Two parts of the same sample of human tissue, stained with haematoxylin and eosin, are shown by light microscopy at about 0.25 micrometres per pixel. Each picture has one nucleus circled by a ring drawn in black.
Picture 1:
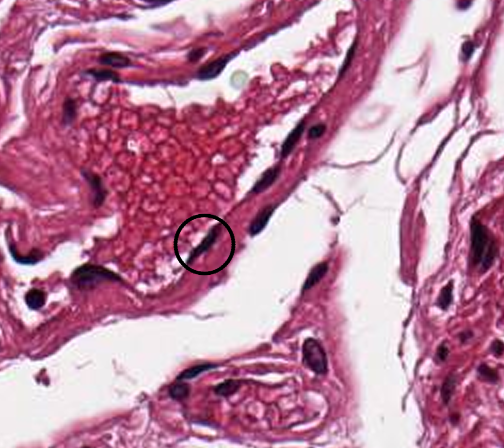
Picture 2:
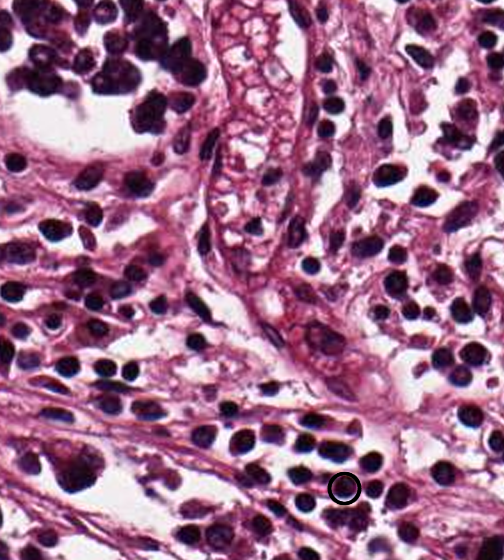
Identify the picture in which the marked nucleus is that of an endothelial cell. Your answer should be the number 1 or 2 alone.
1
